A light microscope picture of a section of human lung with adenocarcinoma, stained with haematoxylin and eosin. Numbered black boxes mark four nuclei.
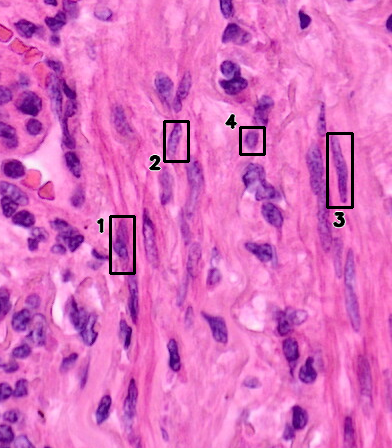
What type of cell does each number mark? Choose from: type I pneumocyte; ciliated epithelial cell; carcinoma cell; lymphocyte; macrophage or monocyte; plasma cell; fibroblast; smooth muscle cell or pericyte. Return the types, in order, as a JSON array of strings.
["smooth muscle cell or pericyte", "smooth muscle cell or pericyte", "smooth muscle cell or pericyte", "lymphocyte"]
